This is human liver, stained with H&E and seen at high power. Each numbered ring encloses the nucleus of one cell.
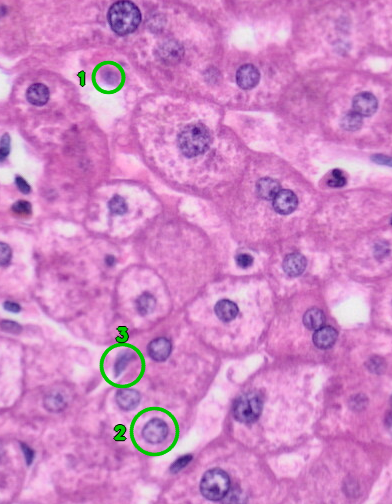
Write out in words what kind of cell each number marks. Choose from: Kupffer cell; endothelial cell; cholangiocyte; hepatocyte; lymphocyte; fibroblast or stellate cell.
Cell 1 is a Kupffer cell, cell 2 is a hepatocyte and cell 3 is an endothelial cell.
